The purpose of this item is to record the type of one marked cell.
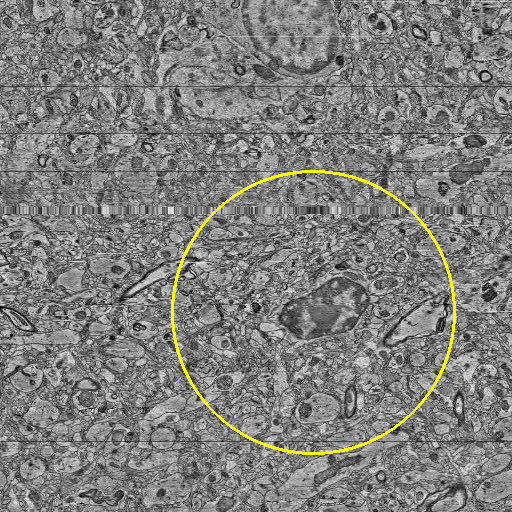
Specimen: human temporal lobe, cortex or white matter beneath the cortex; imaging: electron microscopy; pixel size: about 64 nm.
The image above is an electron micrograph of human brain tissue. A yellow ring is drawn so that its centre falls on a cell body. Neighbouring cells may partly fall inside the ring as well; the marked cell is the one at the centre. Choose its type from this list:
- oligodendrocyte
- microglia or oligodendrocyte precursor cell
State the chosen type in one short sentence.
What the ring marks here is a microglial cell or oligodendrocyte precursor cell.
